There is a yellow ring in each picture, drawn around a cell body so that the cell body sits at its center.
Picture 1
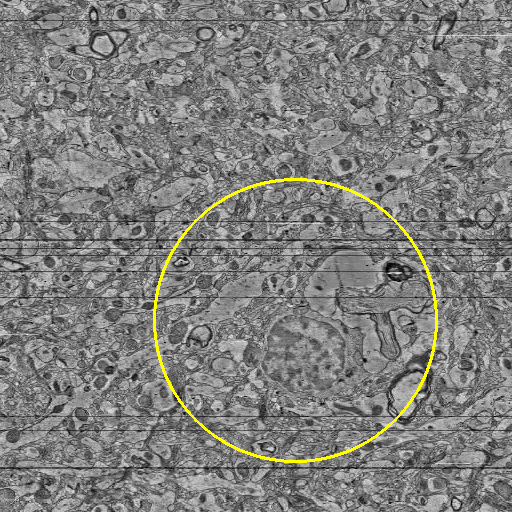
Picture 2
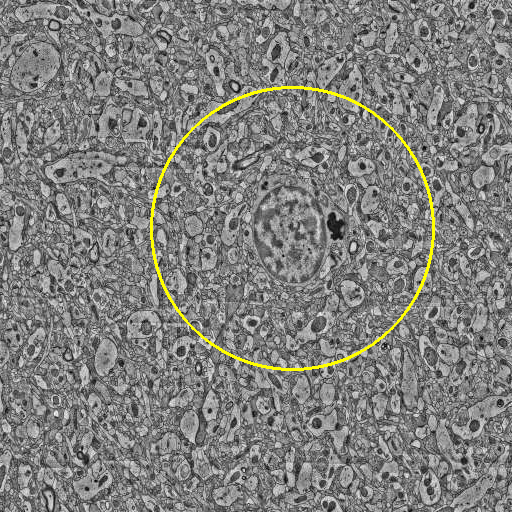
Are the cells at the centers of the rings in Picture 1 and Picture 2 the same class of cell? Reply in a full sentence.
Yes, the two cells are the same class of cell.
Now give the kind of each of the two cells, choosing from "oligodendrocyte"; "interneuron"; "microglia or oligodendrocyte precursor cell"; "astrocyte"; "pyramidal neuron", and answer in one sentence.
Each of the ringed cells, first and second, is an oligodendrocyte.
